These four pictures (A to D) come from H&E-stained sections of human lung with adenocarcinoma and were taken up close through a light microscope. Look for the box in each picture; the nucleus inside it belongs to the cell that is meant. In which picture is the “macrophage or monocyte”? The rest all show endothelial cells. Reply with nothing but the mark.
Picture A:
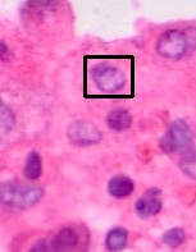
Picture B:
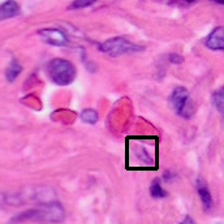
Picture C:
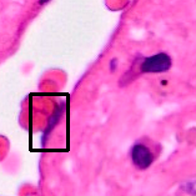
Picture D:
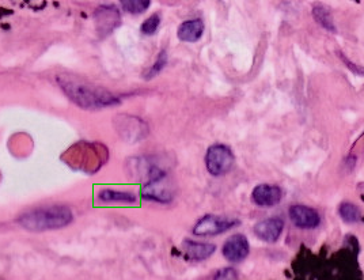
A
